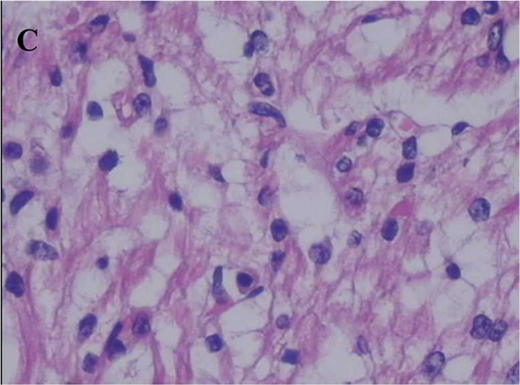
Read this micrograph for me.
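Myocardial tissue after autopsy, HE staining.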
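Heart muscle in which the cardiomyocytes are riddled with clear holes and the tissue between them is widened. The pink cytoplasm no longer forms solid fibres but a lacy, frayed network of fine strands surrounding many round and irregular empty spaces. Blue-purple nuclei, mostly oval and some elongated, are scattered fairly evenly through the field, several lying at the edges of the clear spaces. No orderly parallel arrangement of fibres is preserved, and the overall appearance is pale and spongy, as in swelling with fluid.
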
